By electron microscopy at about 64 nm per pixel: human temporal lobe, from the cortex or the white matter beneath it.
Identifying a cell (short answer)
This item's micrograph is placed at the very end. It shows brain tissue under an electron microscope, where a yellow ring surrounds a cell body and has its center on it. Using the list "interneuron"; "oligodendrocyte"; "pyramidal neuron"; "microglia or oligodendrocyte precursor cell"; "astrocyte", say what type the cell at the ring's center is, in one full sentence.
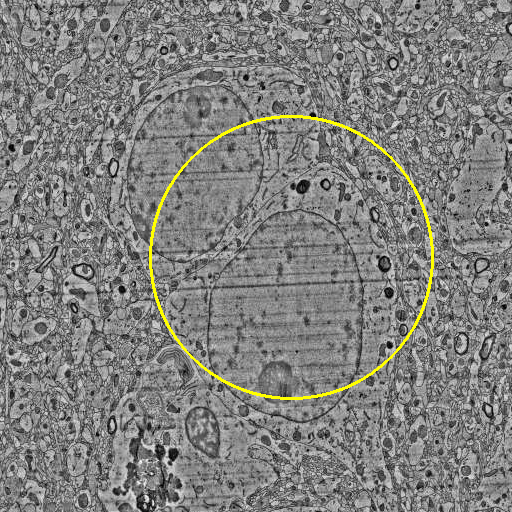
This picture shows a pyramidal neuron at the center of the yellow ring drawn on it.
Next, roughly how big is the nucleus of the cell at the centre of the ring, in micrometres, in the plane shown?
About 14 micrometres by about 10 micrometres in this plane.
